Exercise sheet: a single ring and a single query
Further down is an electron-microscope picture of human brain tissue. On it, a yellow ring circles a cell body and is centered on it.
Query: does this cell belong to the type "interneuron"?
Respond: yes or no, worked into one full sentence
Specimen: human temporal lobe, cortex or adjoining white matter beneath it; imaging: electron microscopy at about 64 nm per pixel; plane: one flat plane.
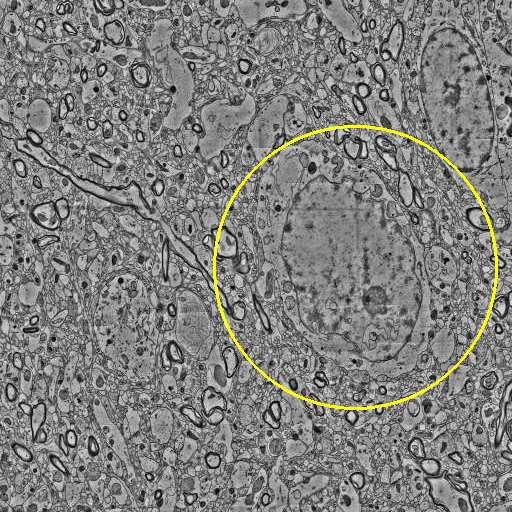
Yes, this ringed cell, found at the center of the ring in the picture, is of that type.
